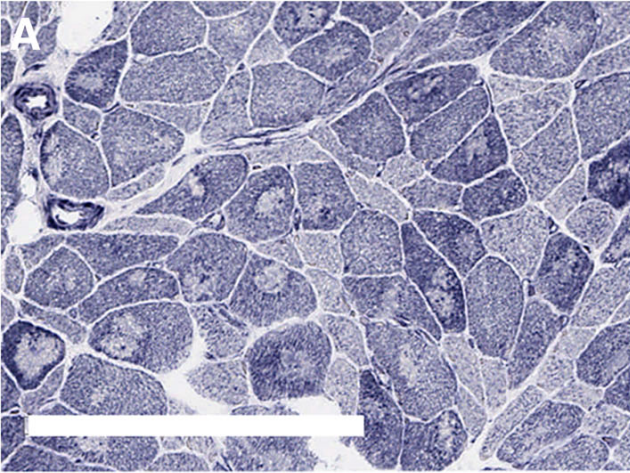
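Transverse section of skeletal muscle showing tightly packed polygonal myofibers of varying size separated by thin pale connective tissue. The fibers stain blue-purple with a fine granular texture, some more darkly than others. Many fibers contain an irregularly outlined central core: a paler or unevenly stained area in the middle of the fiber, sometimes with a darker rim around it. A strand of perimysial connective tissue crosses the field, and small blood vessels with thick walls lie at the upper left. No necrotic fibers are evident.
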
